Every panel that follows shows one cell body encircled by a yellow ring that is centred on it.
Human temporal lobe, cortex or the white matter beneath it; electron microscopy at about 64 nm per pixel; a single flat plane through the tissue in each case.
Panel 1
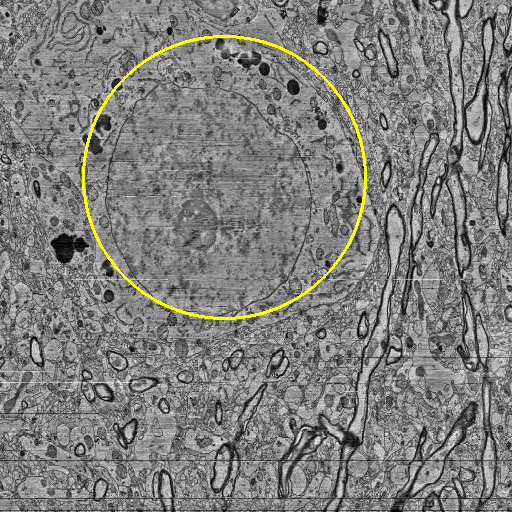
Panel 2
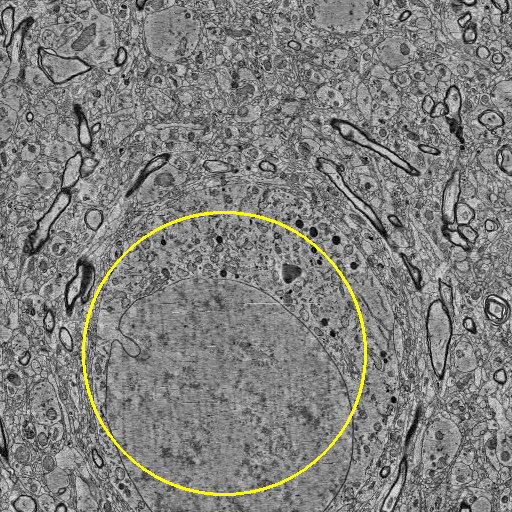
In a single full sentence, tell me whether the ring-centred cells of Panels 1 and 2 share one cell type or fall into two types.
In Panel 1 and Panel 2, the cells at the ring centres share one cell type.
